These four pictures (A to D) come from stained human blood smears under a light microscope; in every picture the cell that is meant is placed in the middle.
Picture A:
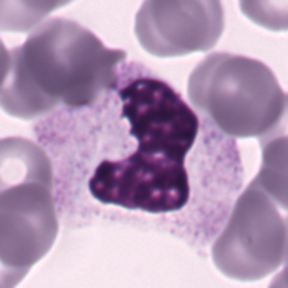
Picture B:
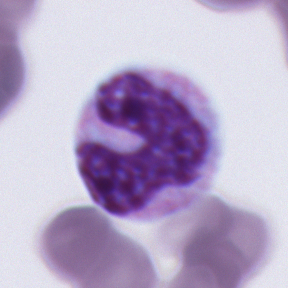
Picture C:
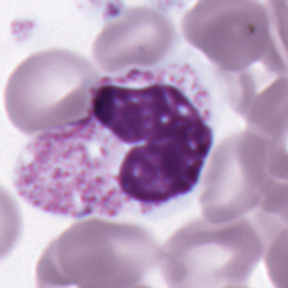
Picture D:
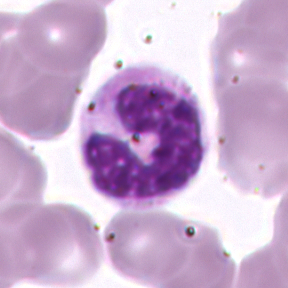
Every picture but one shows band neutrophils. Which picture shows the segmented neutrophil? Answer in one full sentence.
The cell in picture C is the segmented neutrophil.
